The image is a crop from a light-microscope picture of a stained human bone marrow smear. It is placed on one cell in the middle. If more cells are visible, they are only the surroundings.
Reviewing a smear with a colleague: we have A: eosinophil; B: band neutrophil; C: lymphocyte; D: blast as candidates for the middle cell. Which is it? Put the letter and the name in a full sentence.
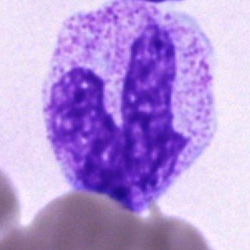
Option B is the right choice, the central cell being a band neutrophil.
